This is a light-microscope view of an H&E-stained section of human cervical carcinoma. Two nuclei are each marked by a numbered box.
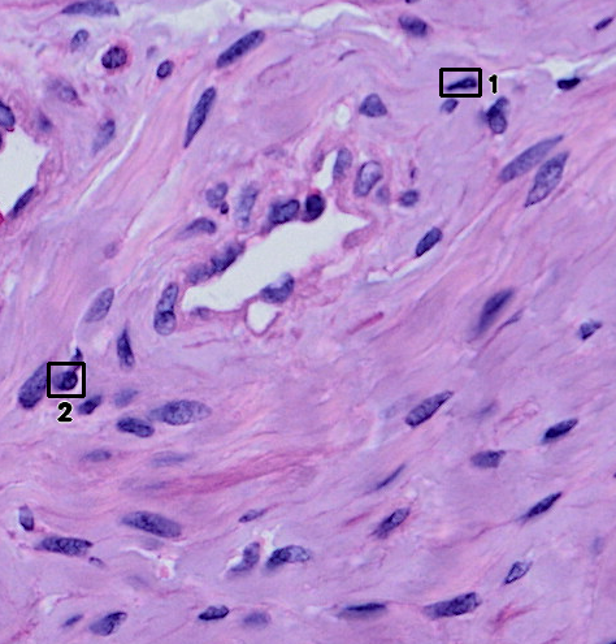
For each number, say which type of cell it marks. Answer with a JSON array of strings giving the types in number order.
["fibroblast", "lymphocyte"]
